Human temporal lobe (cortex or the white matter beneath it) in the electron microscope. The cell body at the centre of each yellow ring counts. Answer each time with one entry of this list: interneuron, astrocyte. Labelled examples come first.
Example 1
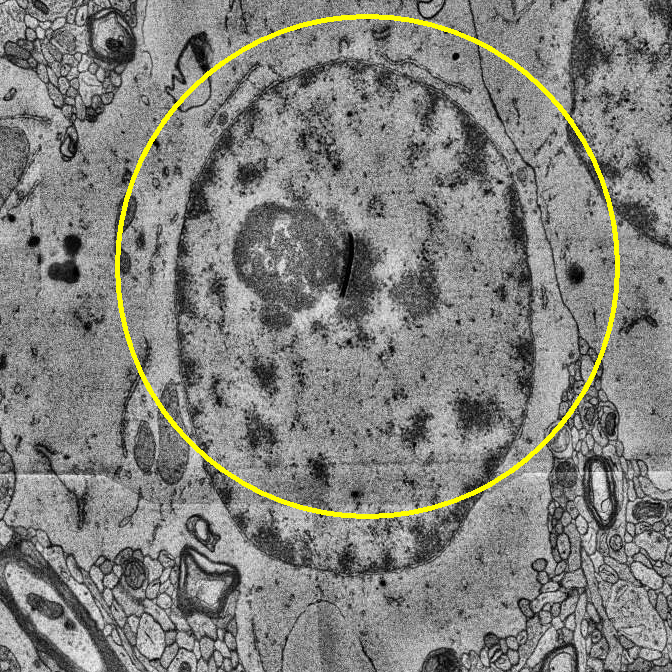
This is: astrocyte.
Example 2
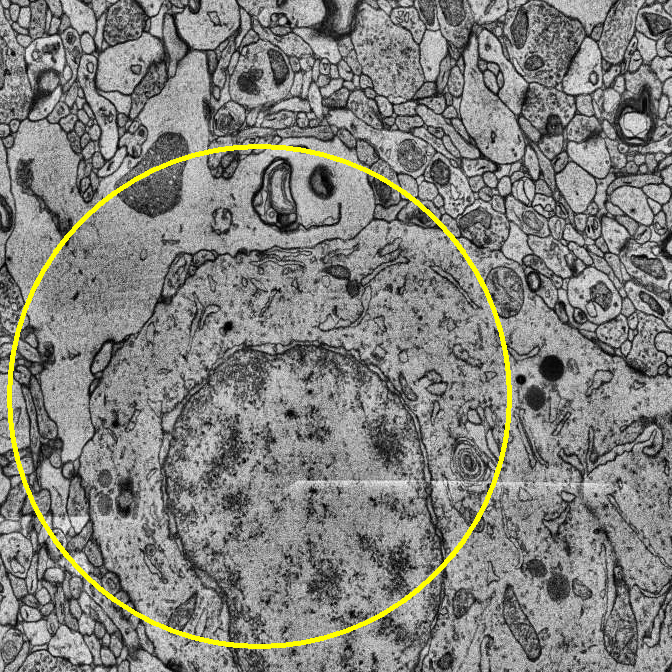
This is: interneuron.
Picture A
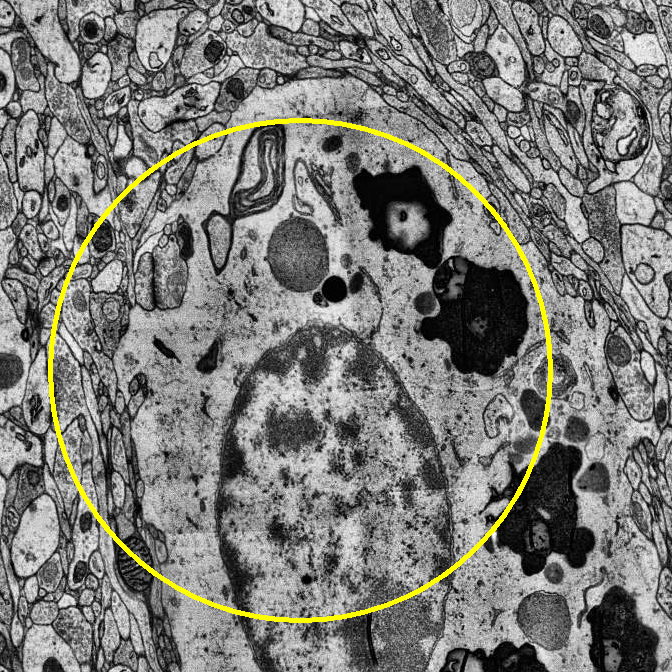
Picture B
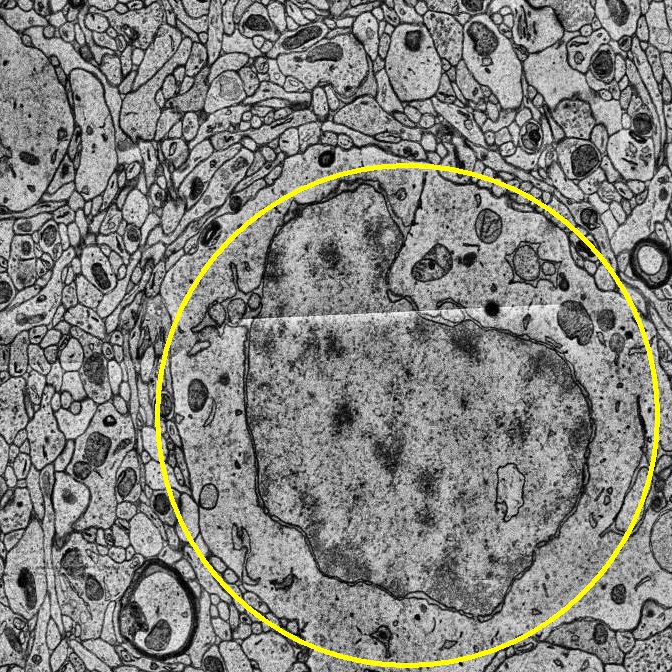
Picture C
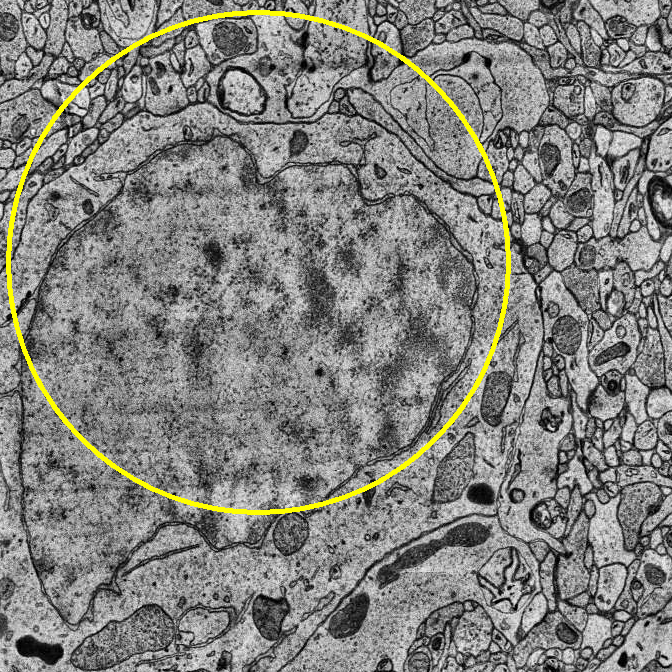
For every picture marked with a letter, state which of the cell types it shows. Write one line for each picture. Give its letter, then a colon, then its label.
A: astrocyte.
B: interneuron.
C: interneuron.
